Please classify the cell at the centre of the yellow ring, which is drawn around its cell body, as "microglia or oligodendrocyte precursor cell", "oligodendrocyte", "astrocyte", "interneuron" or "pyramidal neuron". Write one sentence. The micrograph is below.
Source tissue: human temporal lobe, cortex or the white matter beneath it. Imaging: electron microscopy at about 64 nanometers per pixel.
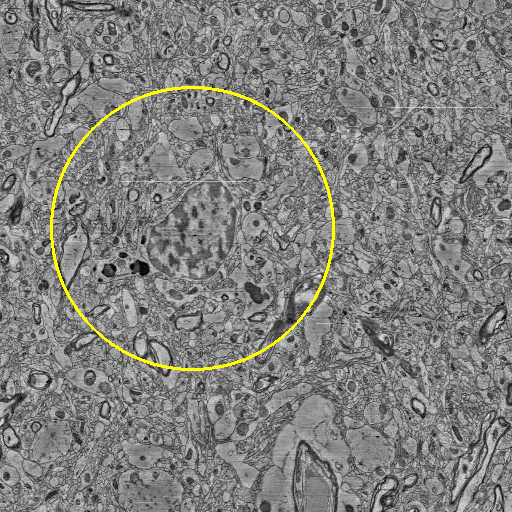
The cell at the ring's centre is classified as a microglial cell or oligodendrocyte precursor cell.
